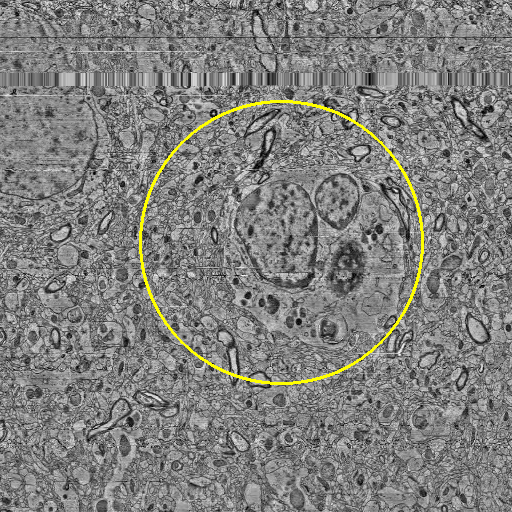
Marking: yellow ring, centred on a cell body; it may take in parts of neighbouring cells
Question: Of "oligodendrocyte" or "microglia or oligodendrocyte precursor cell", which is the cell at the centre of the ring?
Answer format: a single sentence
The ring surrounds the body of a microglial cell or oligodendrocyte precursor cell.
